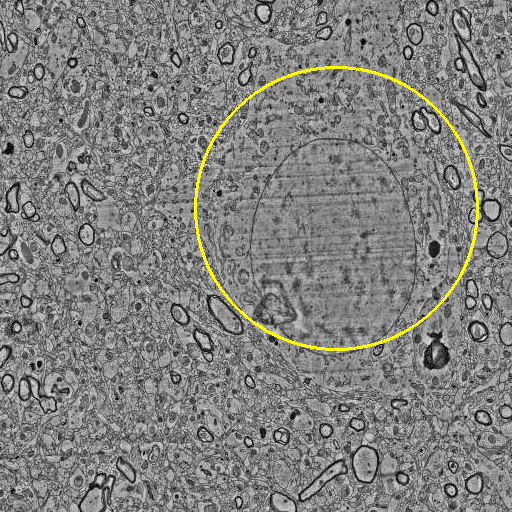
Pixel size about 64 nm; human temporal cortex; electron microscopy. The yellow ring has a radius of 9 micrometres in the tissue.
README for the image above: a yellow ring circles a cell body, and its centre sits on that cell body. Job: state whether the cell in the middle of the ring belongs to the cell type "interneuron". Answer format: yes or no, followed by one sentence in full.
No, in the image, the ring's central cell belongs to another type.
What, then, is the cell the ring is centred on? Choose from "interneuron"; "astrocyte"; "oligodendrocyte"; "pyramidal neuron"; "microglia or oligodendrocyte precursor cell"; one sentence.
The cell this ring marks is a pyramidal neuron.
